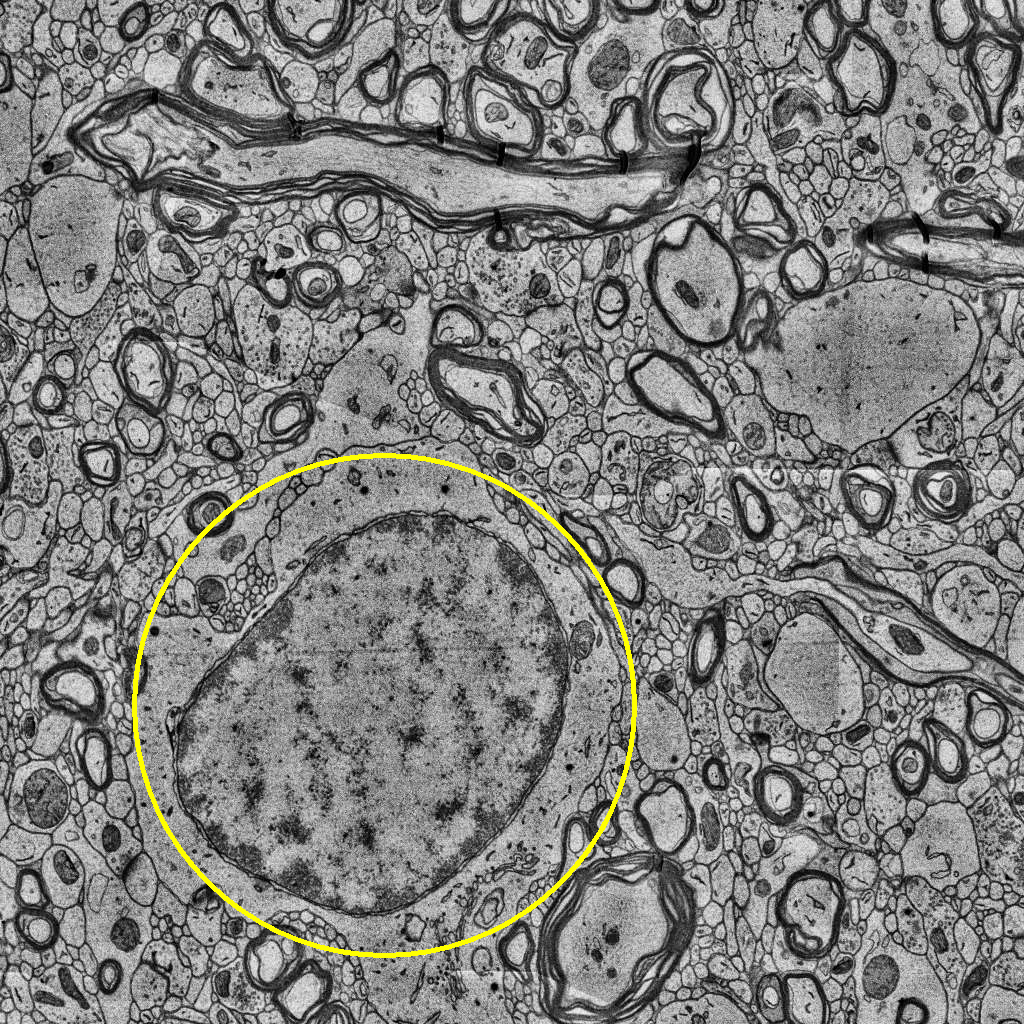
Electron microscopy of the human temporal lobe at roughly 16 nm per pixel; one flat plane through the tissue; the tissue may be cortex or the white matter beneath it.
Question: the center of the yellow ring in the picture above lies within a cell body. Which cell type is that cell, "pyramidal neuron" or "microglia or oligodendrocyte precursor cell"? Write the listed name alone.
microglia or oligodendrocyte precursor cell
